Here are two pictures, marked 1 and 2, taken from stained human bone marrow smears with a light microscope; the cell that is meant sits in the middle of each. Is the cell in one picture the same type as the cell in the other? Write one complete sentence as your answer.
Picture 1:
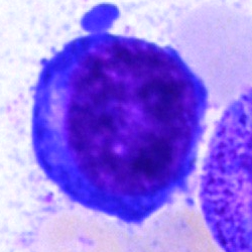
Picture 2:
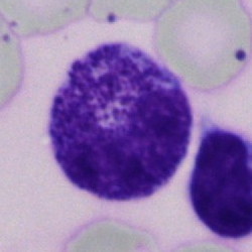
No, they differ: the cell is a proerythroblast in picture 1 and a promyelocyte in picture 2.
